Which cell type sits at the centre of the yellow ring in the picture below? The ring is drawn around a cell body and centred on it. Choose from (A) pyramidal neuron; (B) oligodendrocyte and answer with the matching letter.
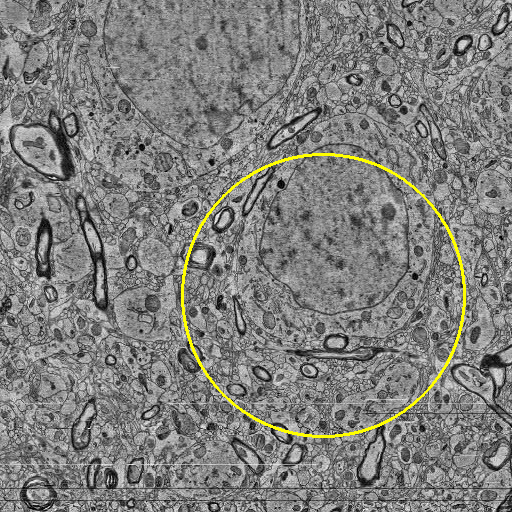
A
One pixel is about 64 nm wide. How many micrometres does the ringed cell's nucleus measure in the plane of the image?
In this plane, about 11 micrometres in length and 10 in width.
